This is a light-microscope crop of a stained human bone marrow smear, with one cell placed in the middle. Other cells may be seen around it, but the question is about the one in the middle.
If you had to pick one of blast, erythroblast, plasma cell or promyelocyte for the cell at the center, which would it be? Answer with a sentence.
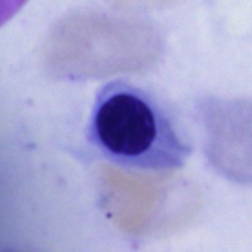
As for the central cell, it is an erythroblast.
